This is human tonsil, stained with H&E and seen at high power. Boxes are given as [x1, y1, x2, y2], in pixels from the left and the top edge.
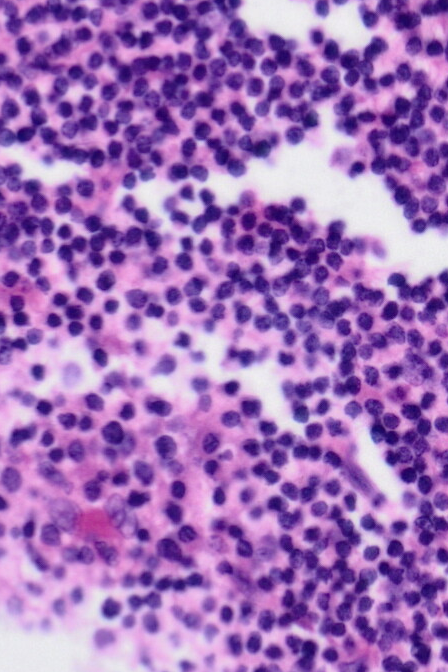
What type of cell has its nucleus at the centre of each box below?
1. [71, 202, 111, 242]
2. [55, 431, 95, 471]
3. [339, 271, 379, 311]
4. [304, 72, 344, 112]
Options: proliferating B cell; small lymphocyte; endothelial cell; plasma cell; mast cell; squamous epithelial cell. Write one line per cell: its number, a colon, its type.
1: small lymphocyte
2: plasma cell
3: small lymphocyte
4: small lymphocyte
